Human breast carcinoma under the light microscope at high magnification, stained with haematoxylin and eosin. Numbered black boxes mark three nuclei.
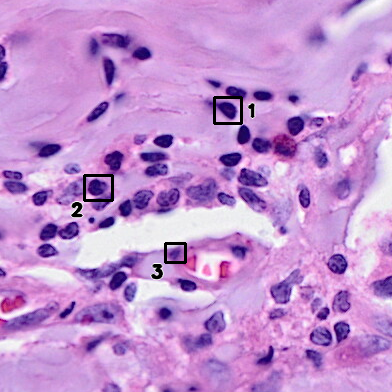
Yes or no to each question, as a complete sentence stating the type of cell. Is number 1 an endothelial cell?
No, cell 1 is not an endothelial cell at all but a lymphocyte.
